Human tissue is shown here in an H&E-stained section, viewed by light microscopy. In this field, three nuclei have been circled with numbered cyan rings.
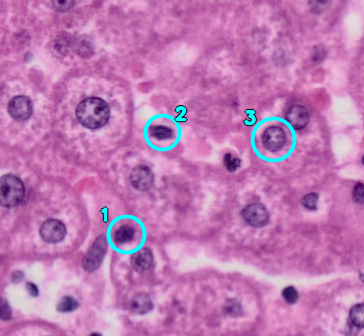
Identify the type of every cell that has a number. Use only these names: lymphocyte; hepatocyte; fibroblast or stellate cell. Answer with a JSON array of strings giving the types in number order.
["fibroblast or stellate cell", "lymphocyte", "hepatocyte"]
